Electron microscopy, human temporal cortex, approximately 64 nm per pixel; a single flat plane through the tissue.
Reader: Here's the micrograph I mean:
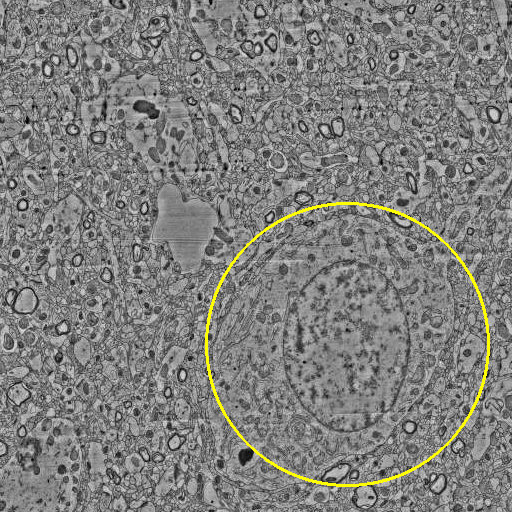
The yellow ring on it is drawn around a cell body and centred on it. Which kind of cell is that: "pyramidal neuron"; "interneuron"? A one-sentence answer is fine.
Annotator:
The ring is centred on an interneuron.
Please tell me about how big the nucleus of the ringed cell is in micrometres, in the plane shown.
Approximately 11 micrometres long and 8 micrometres wide, in this plane.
